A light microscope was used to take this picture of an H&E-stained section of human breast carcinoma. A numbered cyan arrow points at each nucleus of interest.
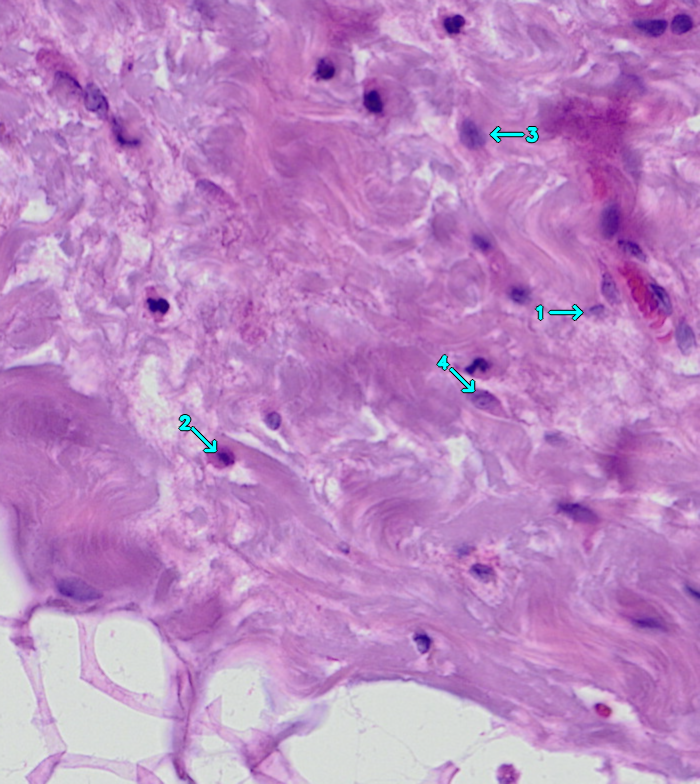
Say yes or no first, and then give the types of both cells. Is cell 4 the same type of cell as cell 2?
No, cell 4 is a fibroblast and cell 2 is a mast cell.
